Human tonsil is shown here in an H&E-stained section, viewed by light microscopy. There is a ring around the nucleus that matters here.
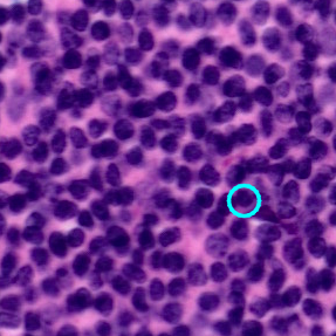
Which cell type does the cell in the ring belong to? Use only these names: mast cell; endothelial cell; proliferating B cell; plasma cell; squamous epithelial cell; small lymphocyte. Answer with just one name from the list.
small lymphocyte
